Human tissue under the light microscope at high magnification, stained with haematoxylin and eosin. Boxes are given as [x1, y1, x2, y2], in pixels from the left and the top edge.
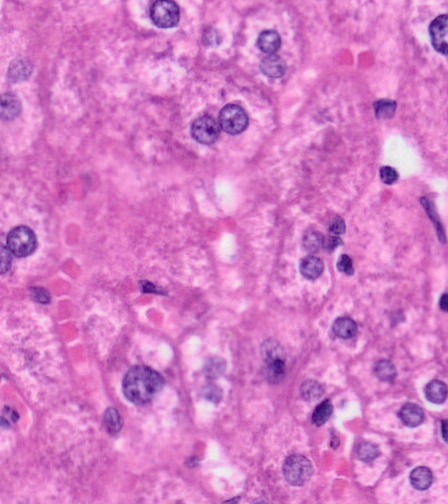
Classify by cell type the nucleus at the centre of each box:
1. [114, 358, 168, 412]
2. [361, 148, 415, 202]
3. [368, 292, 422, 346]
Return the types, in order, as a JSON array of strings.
["hepatocyte", "lymphocyte", "hepatocyte"]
